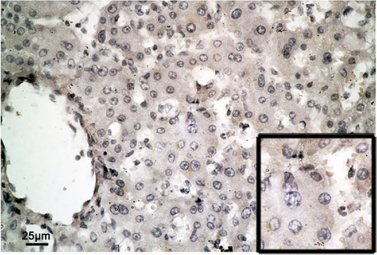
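Liver parenchyma in which polygonal hepatocytes lie in cords, each with a round, centrally placed nucleus and abundant pale cytoplasm. A large vessel lumen lies at the left edge. The tissue takes up little brown stain, and the nuclei appear blue-grey.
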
